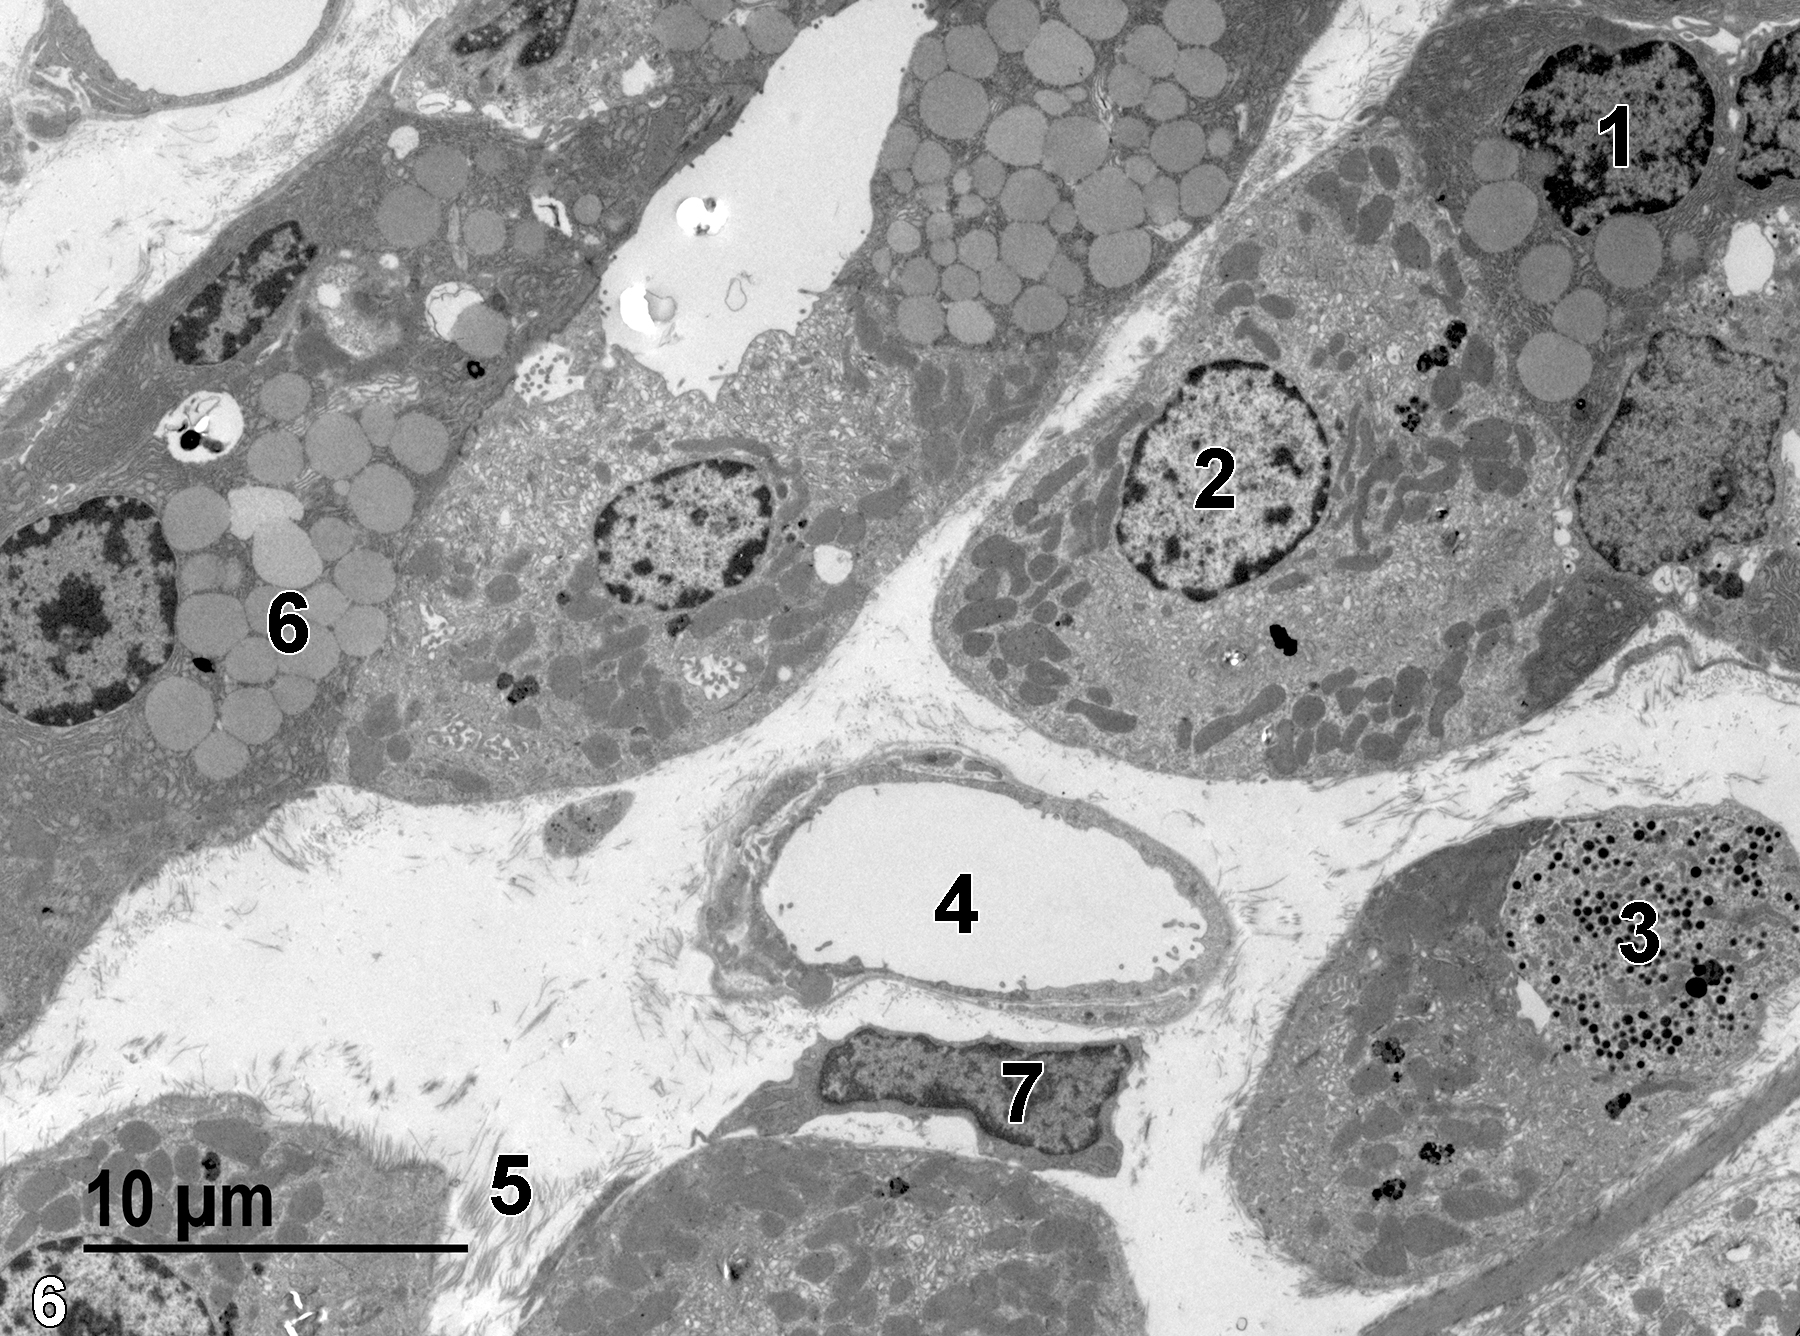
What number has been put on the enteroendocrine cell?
It's 3.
